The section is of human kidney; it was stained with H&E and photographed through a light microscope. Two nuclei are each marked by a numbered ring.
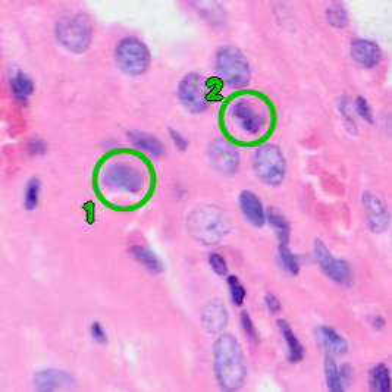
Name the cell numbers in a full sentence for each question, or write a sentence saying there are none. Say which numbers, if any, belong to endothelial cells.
The nucleus numbered 1 is the only one that belongs to an endothelial cell.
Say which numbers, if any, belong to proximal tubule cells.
The tally for proximal tubule cells among the numbered cells is zero.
